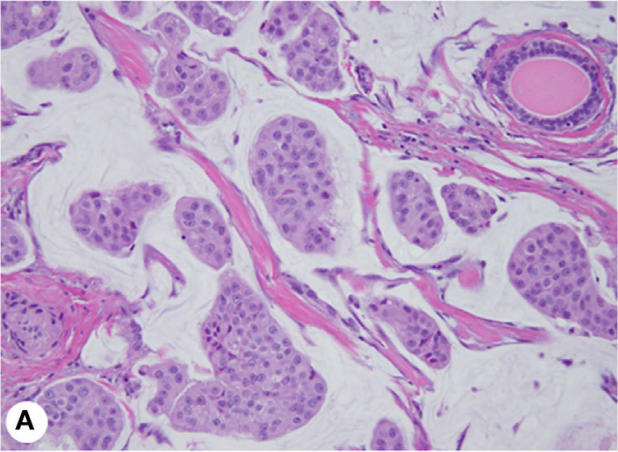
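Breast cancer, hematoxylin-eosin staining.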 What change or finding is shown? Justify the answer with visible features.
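Small rounded nests of epithelial tumor cells lie isolated within pale, wispy extracellular material. Thin pink collagen strands separate the pools around the cell nests.
Answer: mucinous carcinoma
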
